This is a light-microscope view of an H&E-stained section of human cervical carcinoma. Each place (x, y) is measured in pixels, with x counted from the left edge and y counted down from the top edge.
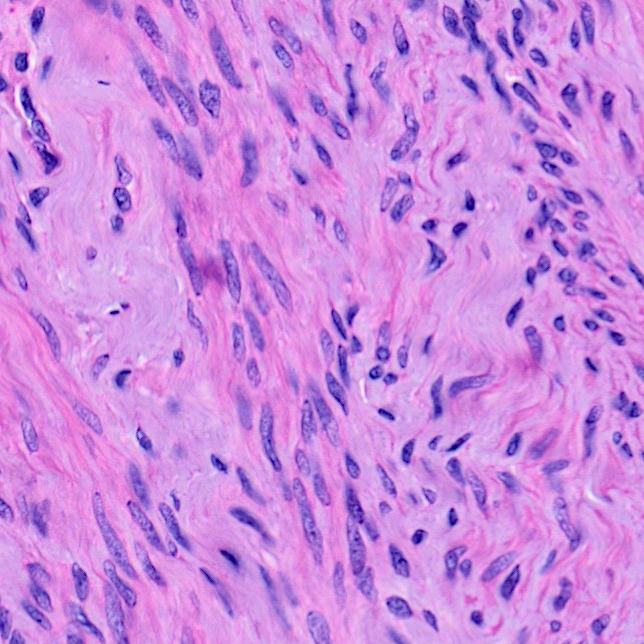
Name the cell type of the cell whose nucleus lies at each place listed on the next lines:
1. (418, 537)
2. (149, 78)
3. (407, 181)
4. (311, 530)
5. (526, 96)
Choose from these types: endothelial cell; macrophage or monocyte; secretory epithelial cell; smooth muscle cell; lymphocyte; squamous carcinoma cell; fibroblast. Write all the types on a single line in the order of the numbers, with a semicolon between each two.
fibroblast; smooth muscle cell; smooth muscle cell; smooth muscle cell; fibroblast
